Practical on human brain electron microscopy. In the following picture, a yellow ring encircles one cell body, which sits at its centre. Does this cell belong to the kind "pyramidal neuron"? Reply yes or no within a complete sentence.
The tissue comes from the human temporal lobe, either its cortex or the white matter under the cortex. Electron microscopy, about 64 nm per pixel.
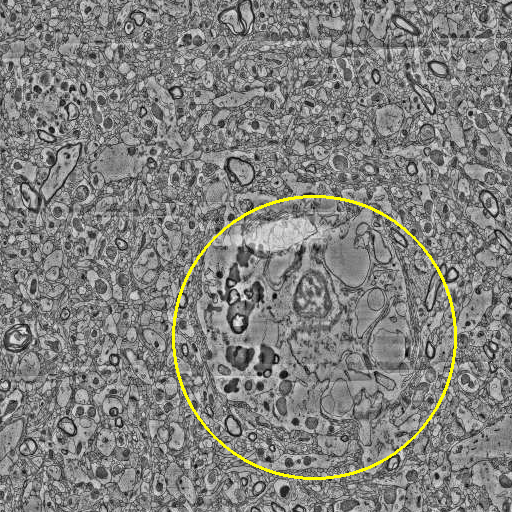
No, the cell lying within the ring at its centre is another kind.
